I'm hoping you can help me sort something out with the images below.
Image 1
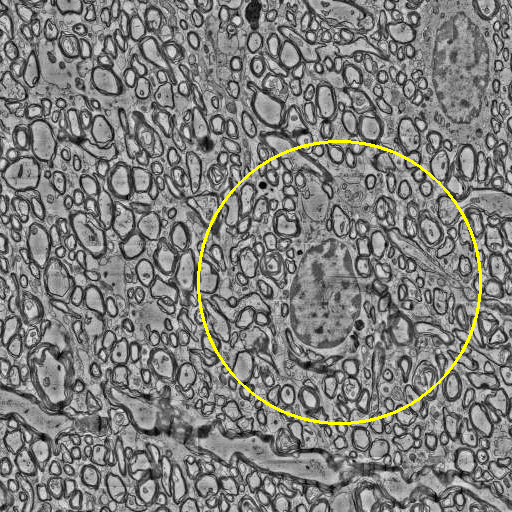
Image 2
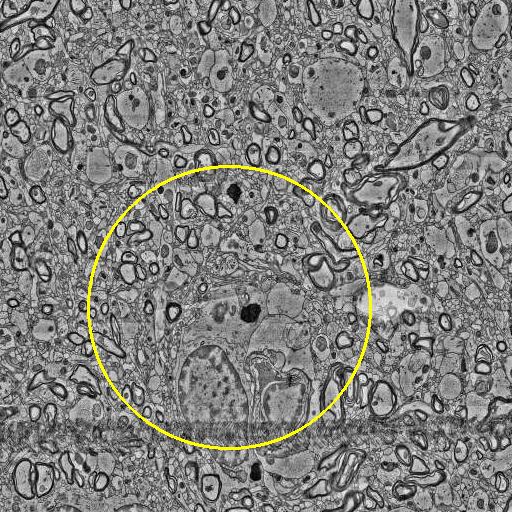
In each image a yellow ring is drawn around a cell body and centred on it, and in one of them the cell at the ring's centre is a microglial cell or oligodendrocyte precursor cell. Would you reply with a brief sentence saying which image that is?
In Image 1, the cell at the centre of the ring is the one you asked about.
